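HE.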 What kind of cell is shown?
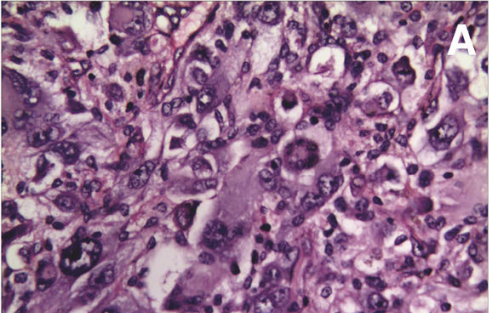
multinuclear tumor giant cells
